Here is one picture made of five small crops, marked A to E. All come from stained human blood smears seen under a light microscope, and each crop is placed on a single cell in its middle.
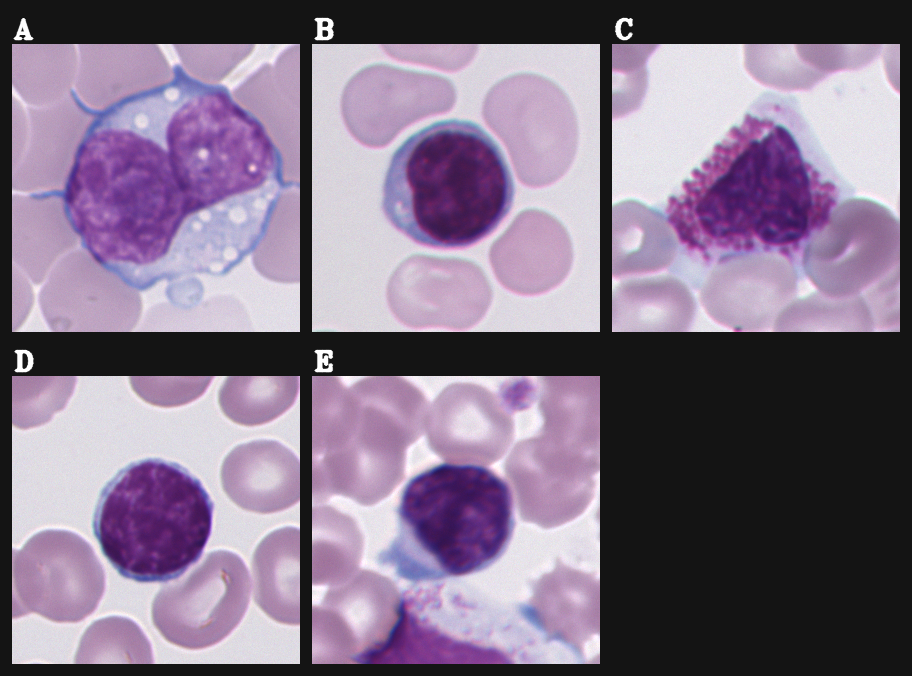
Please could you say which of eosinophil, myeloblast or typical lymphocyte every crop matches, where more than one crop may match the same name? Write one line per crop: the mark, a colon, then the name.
A: myeloblast
B: typical lymphocyte
C: eosinophil
D: typical lymphocyte
E: typical lymphocyte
